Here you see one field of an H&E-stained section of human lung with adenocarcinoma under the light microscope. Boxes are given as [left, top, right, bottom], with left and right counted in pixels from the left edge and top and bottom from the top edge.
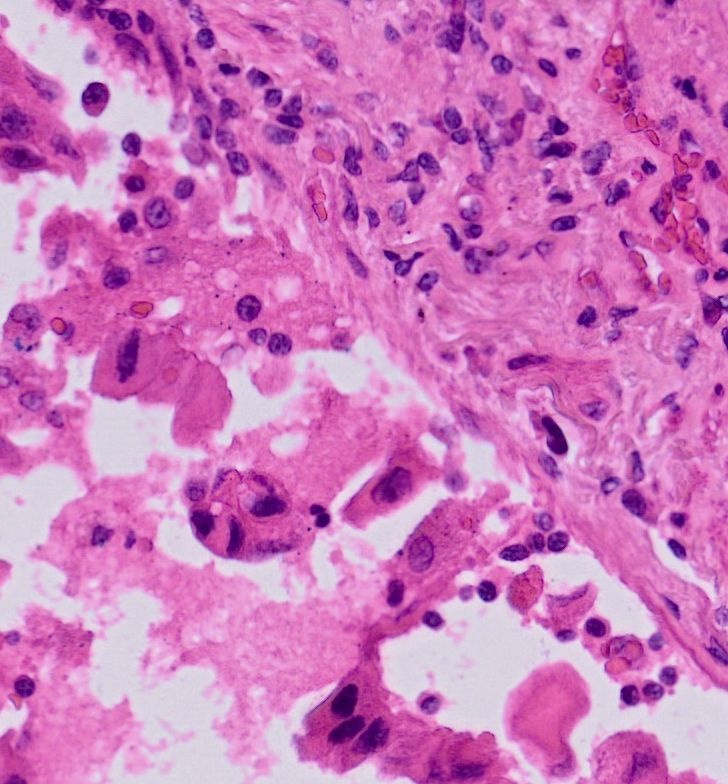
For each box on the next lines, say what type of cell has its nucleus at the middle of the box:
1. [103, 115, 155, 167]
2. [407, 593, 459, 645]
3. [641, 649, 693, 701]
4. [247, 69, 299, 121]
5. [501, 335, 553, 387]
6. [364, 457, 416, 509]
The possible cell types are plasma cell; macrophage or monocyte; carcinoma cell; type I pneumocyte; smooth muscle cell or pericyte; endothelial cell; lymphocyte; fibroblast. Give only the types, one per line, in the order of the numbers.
lymphocyte
lymphocyte
lymphocyte
lymphocyte
smooth muscle cell or pericyte
carcinoma cell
